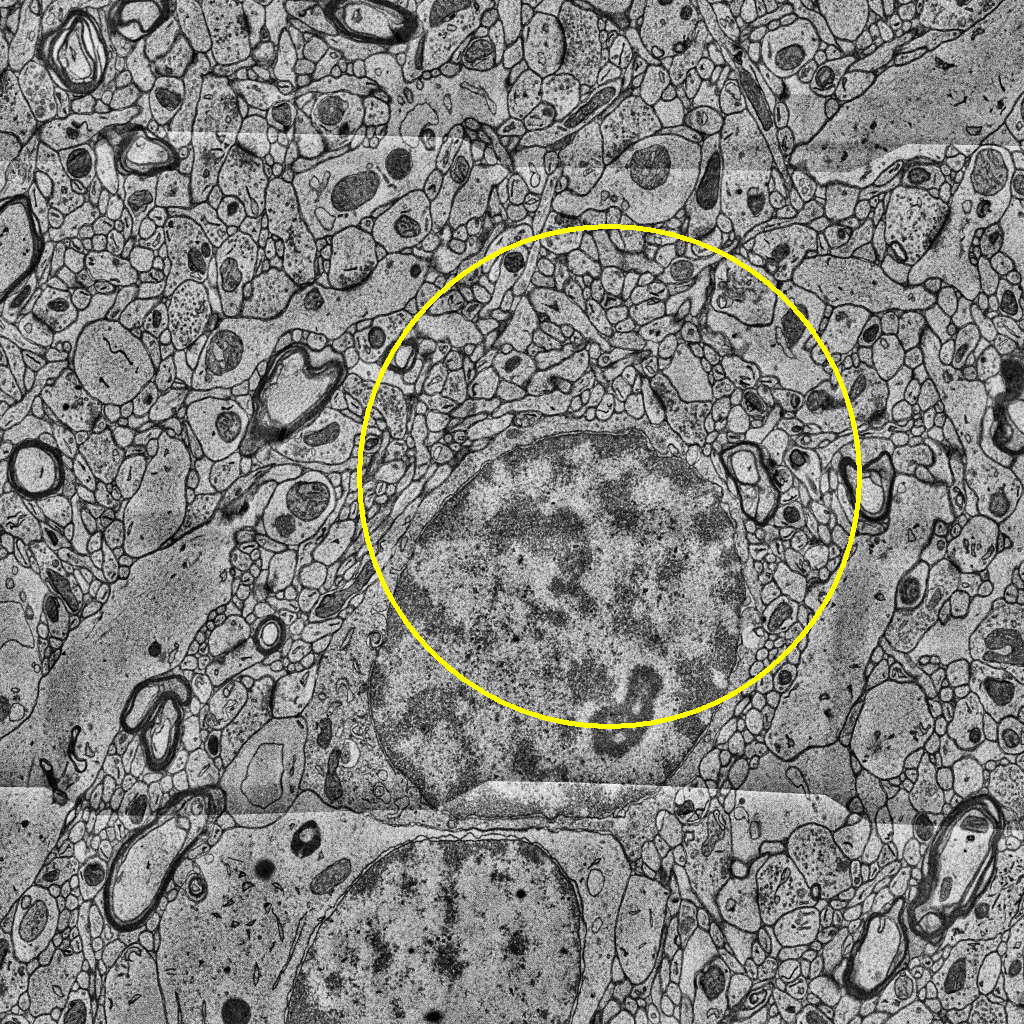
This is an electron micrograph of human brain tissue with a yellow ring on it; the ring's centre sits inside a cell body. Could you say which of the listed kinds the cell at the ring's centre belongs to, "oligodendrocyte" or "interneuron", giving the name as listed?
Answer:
oligodendrocyte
